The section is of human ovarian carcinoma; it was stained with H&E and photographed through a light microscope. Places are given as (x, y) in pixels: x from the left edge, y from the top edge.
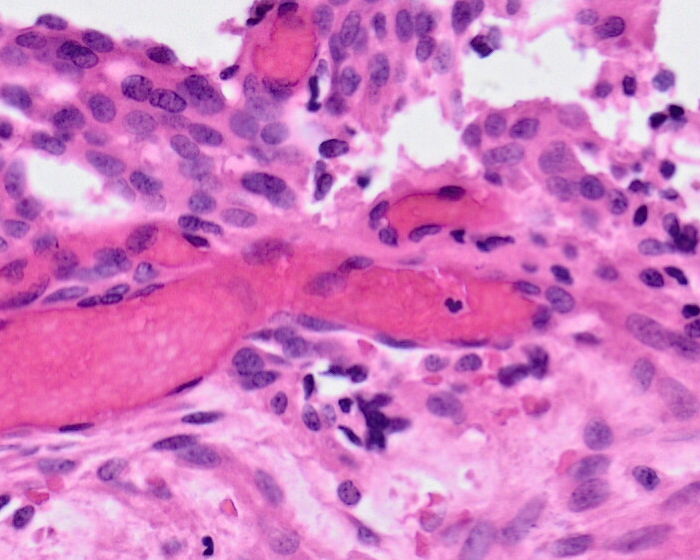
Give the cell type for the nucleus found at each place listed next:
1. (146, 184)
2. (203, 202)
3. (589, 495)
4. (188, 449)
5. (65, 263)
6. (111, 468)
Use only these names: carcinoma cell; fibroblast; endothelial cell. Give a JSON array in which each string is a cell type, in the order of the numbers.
["carcinoma cell", "carcinoma cell", "fibroblast", "fibroblast", "endothelial cell", "fibroblast"]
